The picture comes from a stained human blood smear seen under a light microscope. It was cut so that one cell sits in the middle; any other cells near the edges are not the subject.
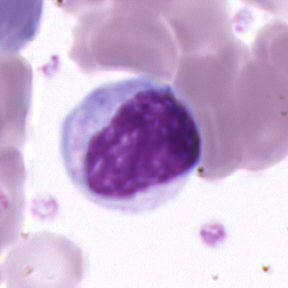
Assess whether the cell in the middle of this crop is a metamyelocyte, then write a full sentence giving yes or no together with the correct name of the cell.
Yes, the cell sitting in the center is a metamyelocyte.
